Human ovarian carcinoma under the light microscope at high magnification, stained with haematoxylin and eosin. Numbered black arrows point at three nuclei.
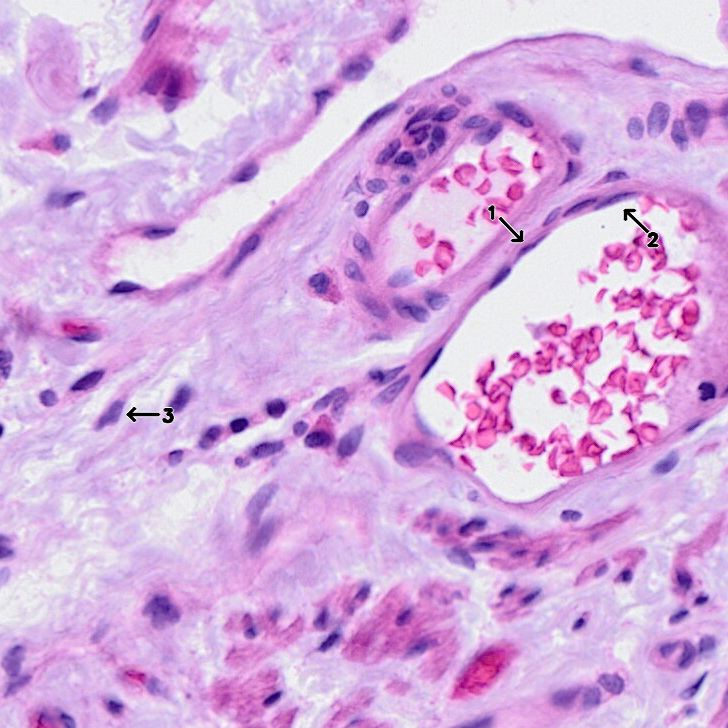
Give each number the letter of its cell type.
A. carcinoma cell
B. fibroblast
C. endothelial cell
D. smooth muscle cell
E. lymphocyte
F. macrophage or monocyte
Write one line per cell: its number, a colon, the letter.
1: C
2: C
3: B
